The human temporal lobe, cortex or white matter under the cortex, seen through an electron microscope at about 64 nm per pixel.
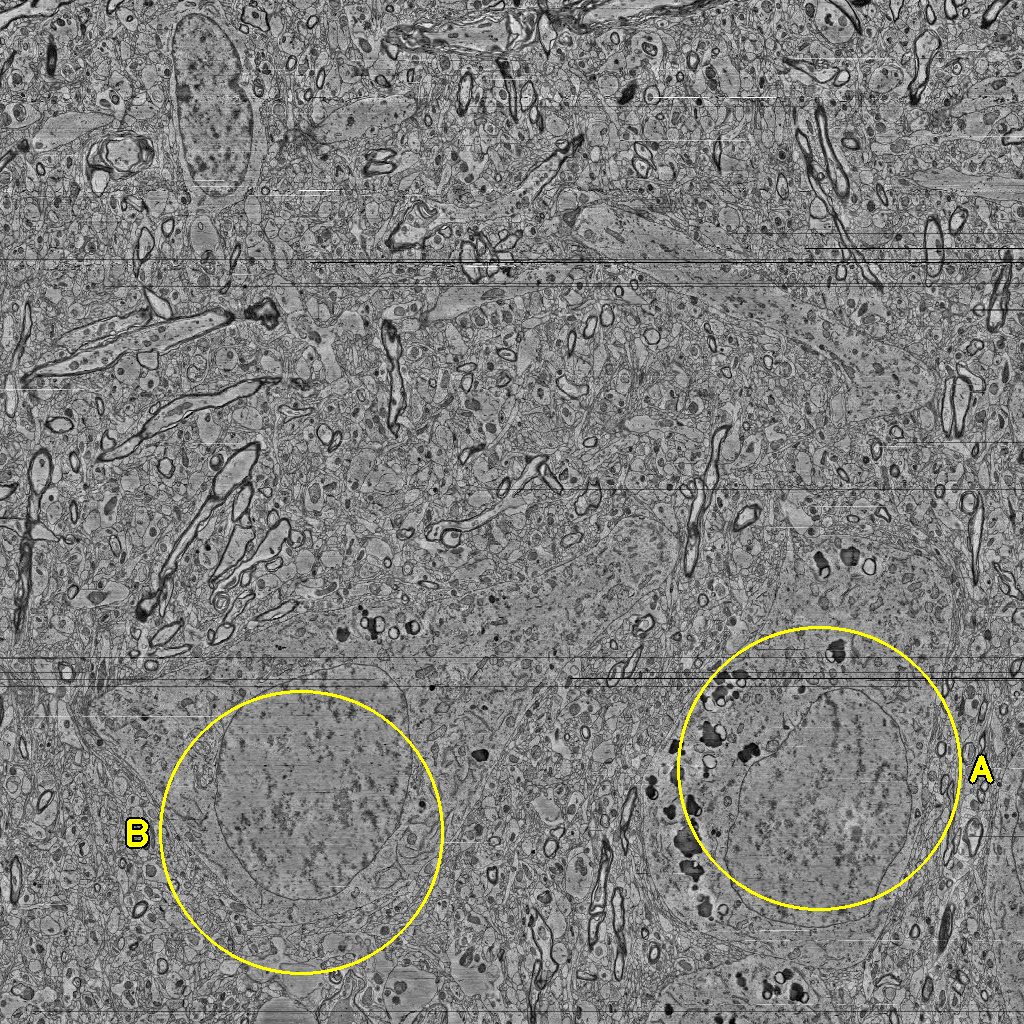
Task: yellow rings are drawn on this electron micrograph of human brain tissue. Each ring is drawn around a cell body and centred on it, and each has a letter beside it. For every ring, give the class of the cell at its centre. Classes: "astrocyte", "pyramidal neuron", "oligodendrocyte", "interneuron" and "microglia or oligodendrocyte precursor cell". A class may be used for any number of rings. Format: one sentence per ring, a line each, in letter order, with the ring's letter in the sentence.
The cell ringed as A is a pyramidal neuron.
The cell ringed as B is a pyramidal neuron.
